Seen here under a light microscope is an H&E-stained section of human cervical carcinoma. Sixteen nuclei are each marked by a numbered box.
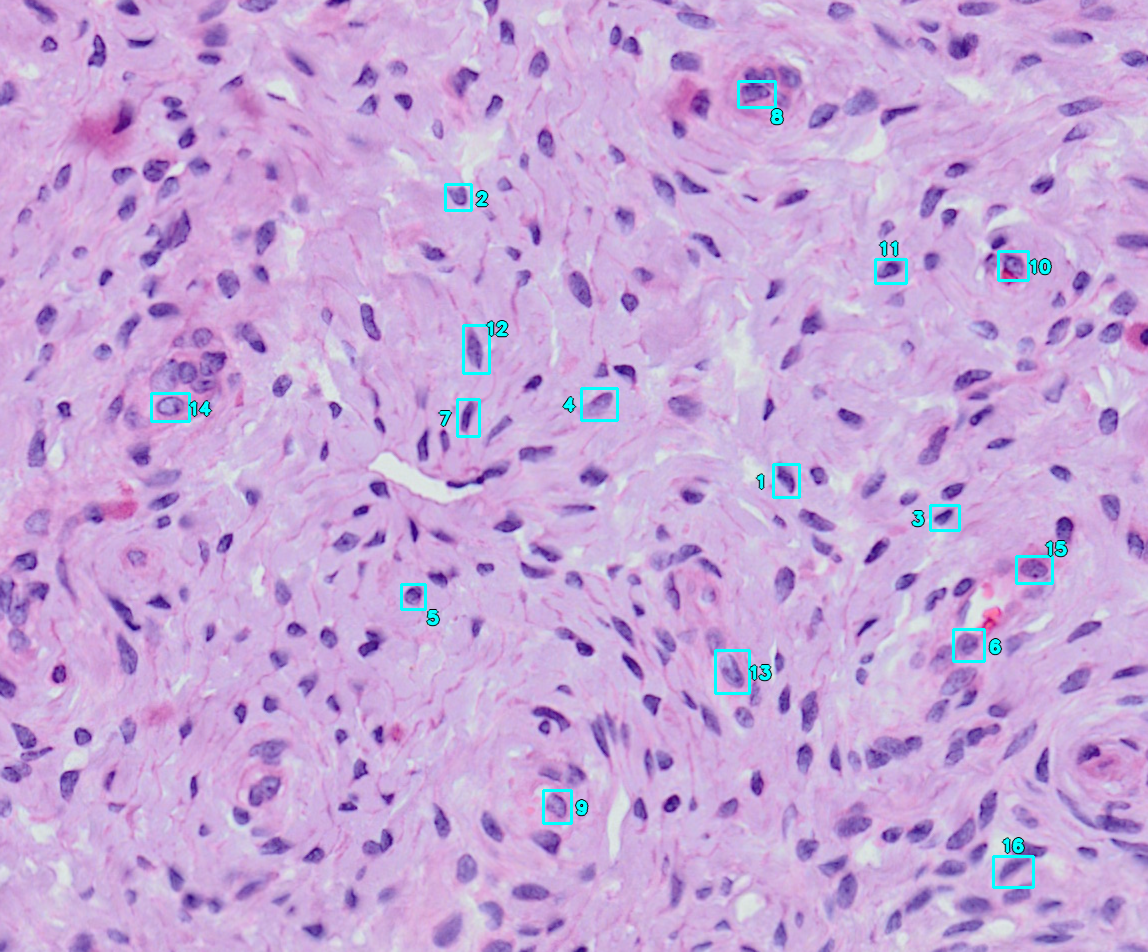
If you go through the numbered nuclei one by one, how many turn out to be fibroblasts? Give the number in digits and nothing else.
9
